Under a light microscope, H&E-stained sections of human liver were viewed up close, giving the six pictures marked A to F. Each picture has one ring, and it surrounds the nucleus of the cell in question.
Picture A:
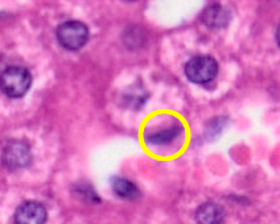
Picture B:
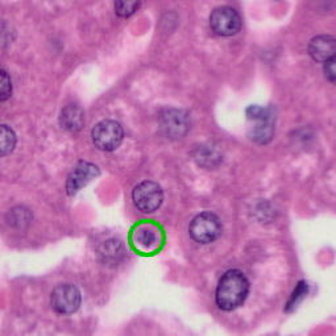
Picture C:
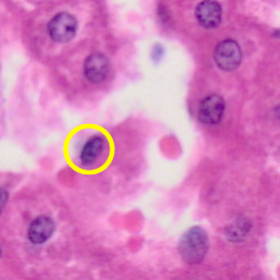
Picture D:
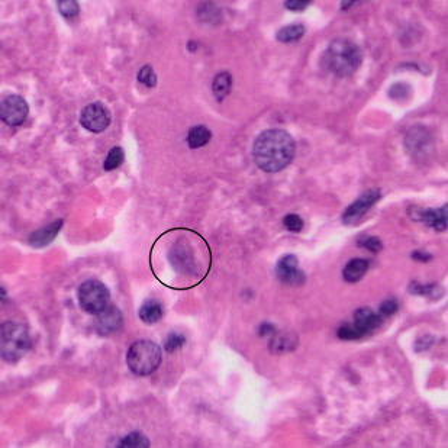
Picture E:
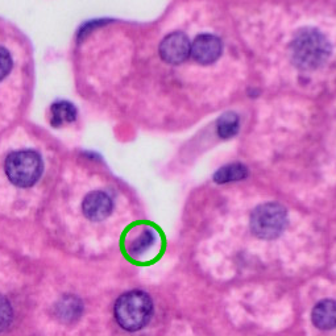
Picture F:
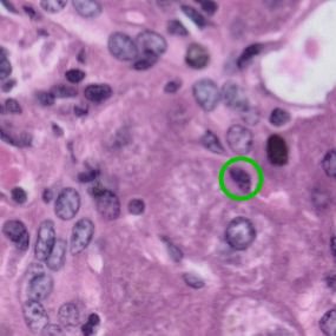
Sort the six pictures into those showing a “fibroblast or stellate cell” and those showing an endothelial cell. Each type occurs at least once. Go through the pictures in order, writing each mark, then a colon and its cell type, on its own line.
A: fibroblast or stellate cell
B: fibroblast or stellate cell
C: fibroblast or stellate cell
D: endothelial cell
E: endothelial cell
F: fibroblast or stellate cell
